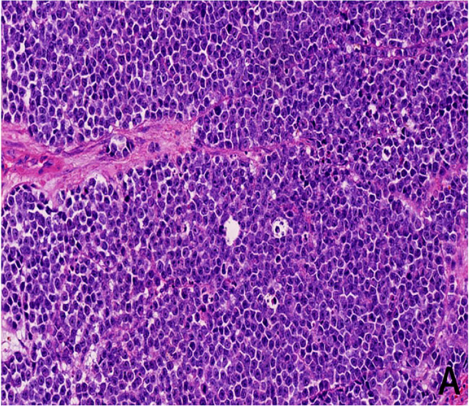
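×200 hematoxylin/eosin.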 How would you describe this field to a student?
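This is a tumour made of small round cells growing in diffuse solid sheets. The cells are tightly packed and fairly uniform, each with a round, darkly purple nucleus and only a thin rim of cytoplasm, so the nuclei dominate the picture. The sheets are interrupted only by thin, pink fibrous strands carrying small vessels, one running across the left part of the field. A few small clear spaces and scattered vessels lie within the sheets. No glands, lobules or other organized structures are formed; the architecture is a monotonous, densely cellular sheet.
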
